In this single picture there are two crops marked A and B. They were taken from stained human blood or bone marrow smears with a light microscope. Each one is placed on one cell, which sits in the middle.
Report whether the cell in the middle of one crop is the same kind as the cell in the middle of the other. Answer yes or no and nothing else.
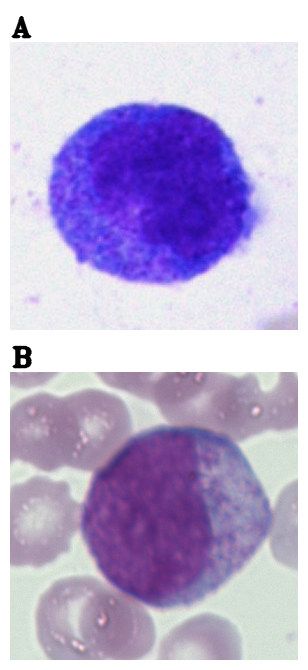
yes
